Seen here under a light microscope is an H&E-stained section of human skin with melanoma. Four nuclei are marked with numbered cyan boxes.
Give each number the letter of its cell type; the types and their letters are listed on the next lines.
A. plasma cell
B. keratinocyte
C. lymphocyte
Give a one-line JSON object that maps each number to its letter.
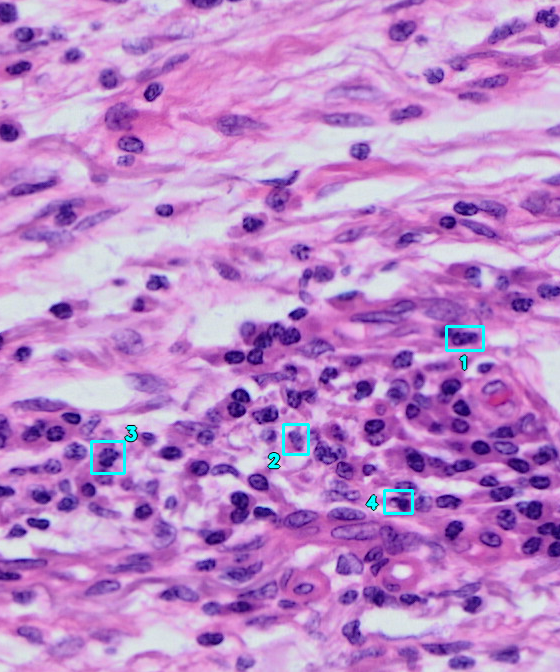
{"1": "A", "2": "C", "3": "A", "4": "A"}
